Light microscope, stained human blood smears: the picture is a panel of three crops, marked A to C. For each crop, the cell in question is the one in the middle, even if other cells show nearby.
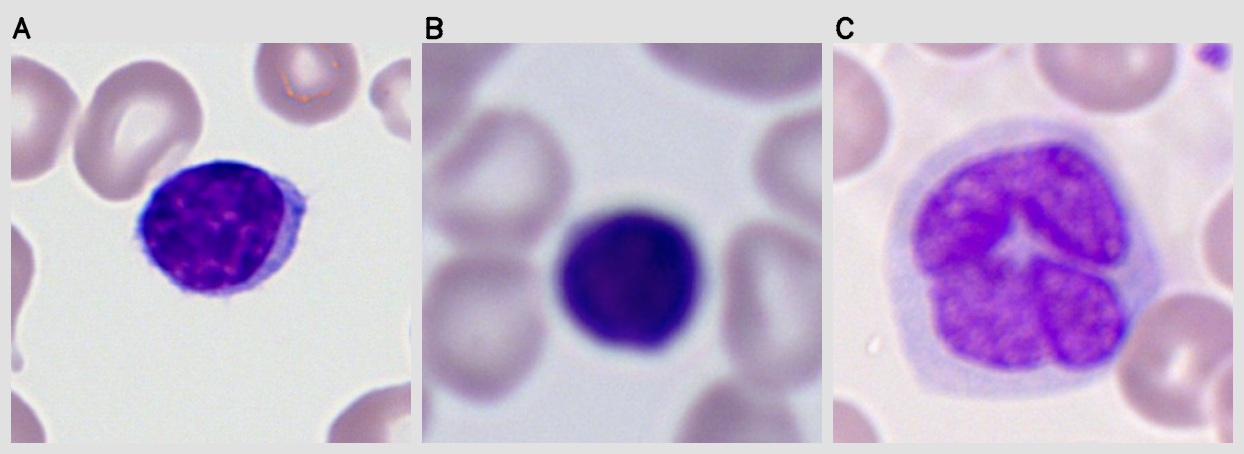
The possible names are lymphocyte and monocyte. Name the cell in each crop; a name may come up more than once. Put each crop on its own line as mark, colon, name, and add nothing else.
A: lymphocyte
B: lymphocyte
C: monocyte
